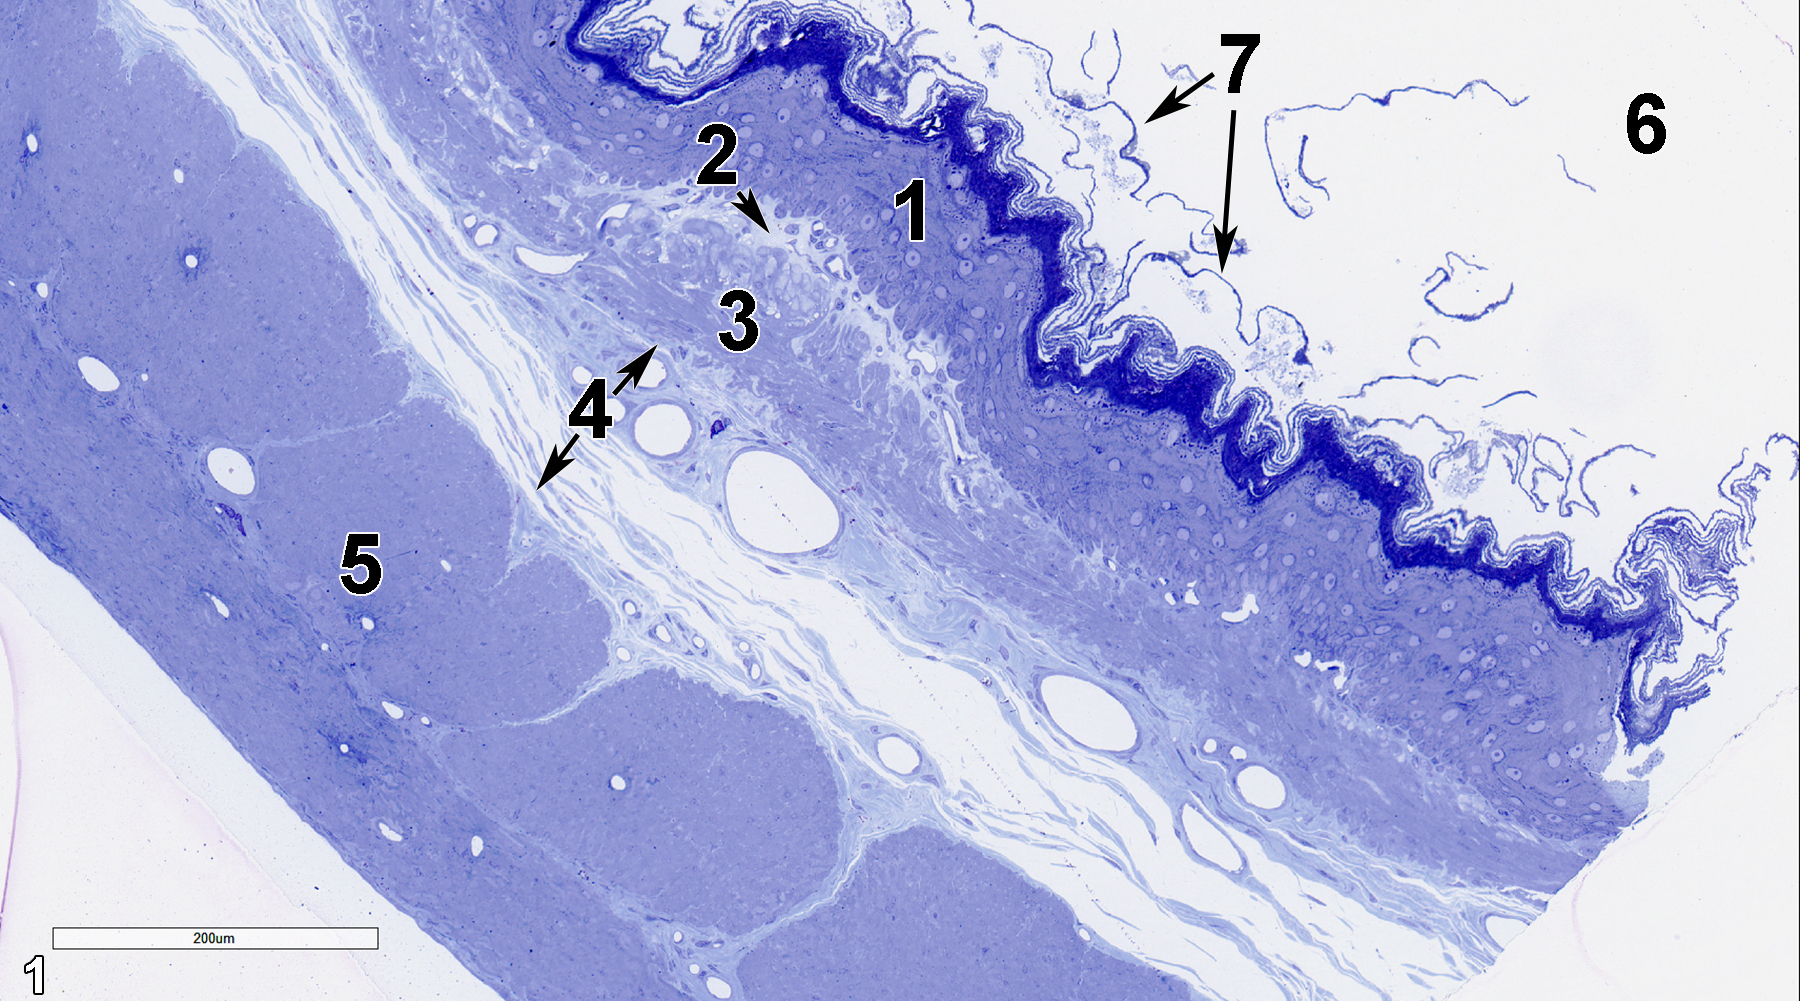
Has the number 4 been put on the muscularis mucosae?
No: the submucosa.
